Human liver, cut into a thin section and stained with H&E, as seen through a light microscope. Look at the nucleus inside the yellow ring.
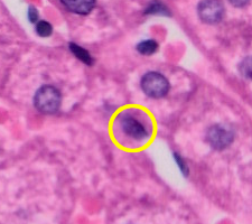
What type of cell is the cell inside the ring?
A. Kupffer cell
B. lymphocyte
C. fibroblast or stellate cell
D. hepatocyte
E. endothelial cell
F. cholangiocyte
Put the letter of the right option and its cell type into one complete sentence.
Option C gets it right, as the cell inside the ring is a fibroblast or stellate cell.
